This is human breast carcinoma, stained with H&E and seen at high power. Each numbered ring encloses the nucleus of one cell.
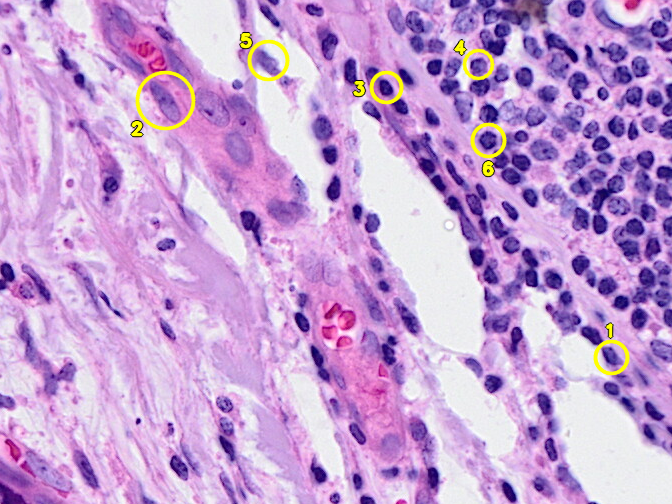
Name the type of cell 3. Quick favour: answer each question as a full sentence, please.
Here the cell numbered 3 is a lymphocyte.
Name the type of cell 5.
The cell marked with the number 5 is a fibroblast.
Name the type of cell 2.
Recognised here as an endothelial cell is the cell numbered 2.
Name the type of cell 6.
Cell 6 in the field is a lymphocyte.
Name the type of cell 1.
The numbered cell 1 is identified here as a lymphocyte.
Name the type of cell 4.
The cell assigned the number 4 is a lymphocyte.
